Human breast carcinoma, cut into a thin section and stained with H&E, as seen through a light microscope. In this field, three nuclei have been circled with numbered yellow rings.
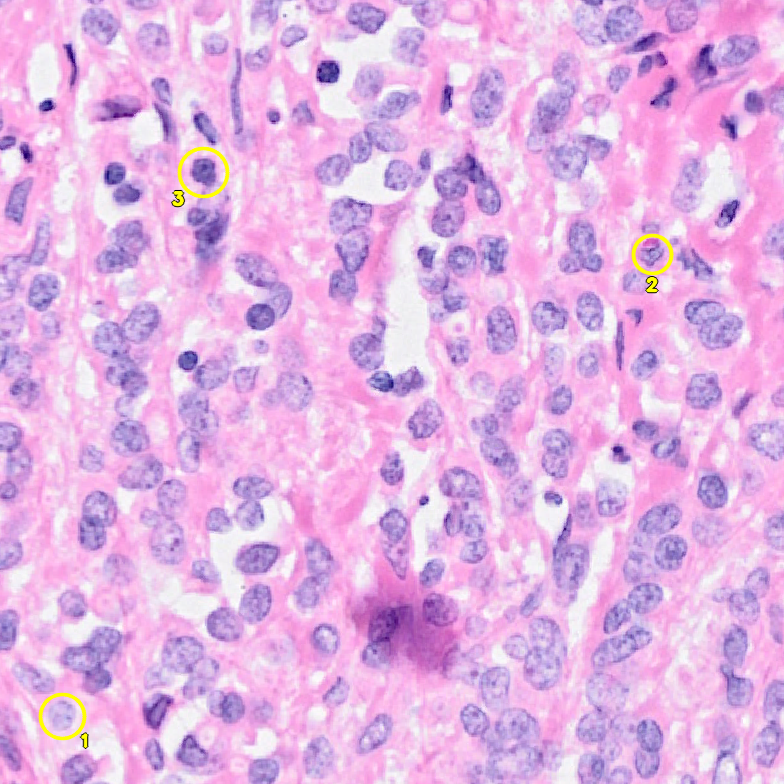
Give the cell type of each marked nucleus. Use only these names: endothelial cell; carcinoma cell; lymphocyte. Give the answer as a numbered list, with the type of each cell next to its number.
1. carcinoma cell
2. endothelial cell
3. lymphocyte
